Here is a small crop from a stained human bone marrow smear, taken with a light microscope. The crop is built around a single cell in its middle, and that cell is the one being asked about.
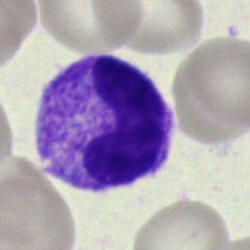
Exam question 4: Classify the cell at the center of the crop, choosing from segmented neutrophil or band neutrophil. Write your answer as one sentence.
In short, the cell at the center is a band neutrophil.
